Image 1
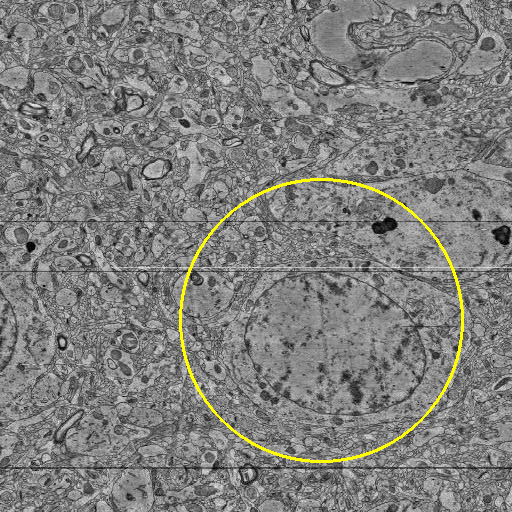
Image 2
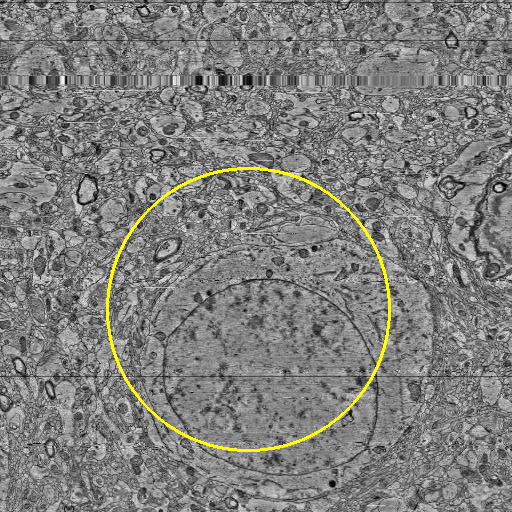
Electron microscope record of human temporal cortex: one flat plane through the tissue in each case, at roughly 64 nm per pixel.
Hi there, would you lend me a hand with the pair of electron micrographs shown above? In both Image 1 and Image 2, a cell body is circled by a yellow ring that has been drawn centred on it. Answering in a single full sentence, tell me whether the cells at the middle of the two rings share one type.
Yes, the ringed cells in Image 1 and Image 2 share one type.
